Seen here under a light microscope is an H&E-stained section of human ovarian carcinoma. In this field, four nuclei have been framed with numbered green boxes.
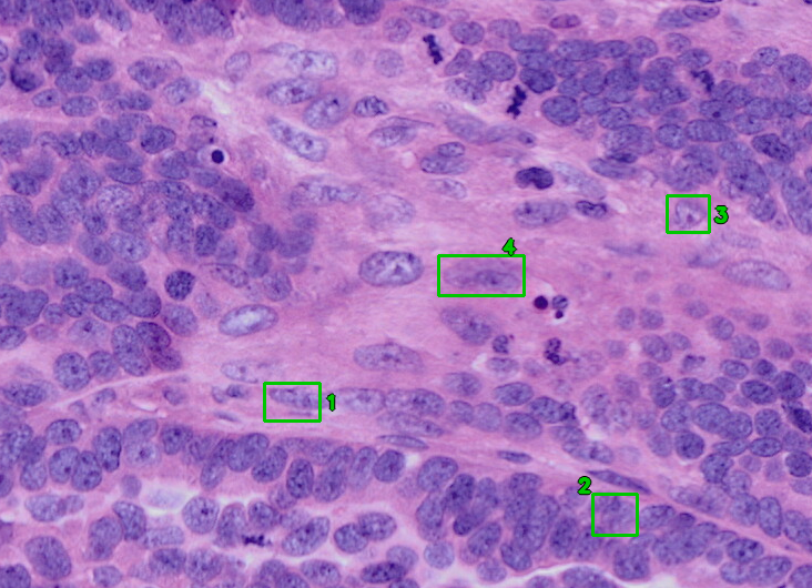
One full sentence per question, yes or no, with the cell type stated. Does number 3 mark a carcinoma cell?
No, number 3 is not a carcinoma cell but a fibroblast.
